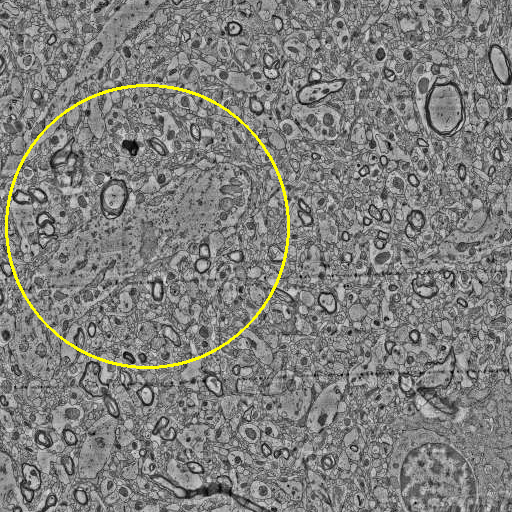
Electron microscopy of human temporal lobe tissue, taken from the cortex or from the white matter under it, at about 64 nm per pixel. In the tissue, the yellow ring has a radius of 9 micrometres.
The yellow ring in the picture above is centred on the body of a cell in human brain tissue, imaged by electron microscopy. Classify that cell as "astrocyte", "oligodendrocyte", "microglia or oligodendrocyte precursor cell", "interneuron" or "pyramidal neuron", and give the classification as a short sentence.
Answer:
The cell in the middle of the ring is a microglial cell or oligodendrocyte precursor cell.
